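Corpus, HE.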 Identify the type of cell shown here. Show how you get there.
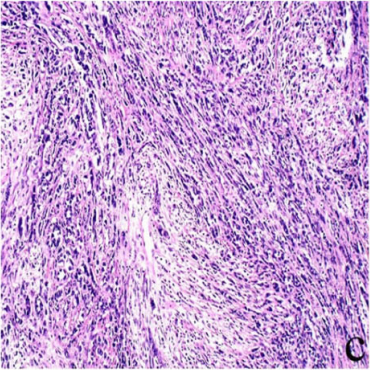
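Densely packed cells with elongated, tapering nuclei. Cells run in intersecting fascicles. Nuclei are dark and crowded.
Spindle cells.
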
